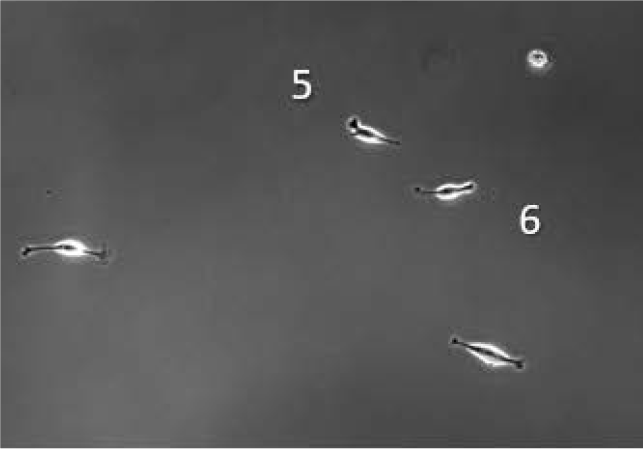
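Cultured cells seen in phase contrast, lying scattered and well apart on a smooth grey background. Most are elongated and spindle-shaped, with a bright central body and thin, tapering extensions at both ends. Two such cells lie near each other in the middle of the field. One cell at the upper right remains small and round with a bright halo.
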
